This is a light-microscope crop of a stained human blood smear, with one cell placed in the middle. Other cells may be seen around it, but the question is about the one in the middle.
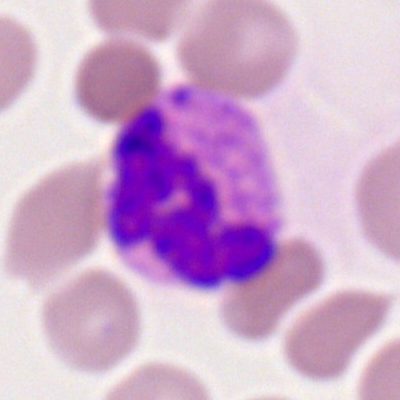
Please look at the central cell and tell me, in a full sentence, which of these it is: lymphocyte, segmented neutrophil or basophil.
The cell the crop is centered on is a basophil.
